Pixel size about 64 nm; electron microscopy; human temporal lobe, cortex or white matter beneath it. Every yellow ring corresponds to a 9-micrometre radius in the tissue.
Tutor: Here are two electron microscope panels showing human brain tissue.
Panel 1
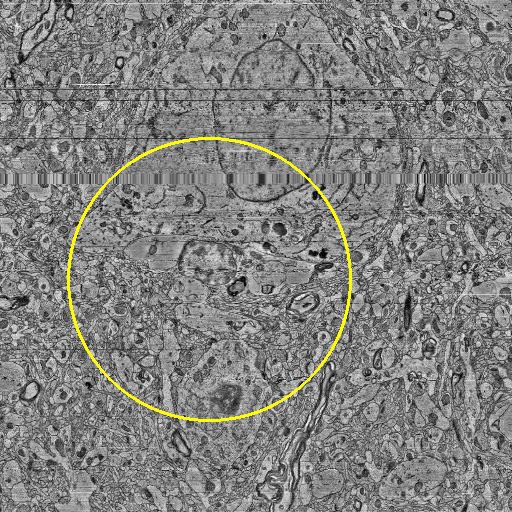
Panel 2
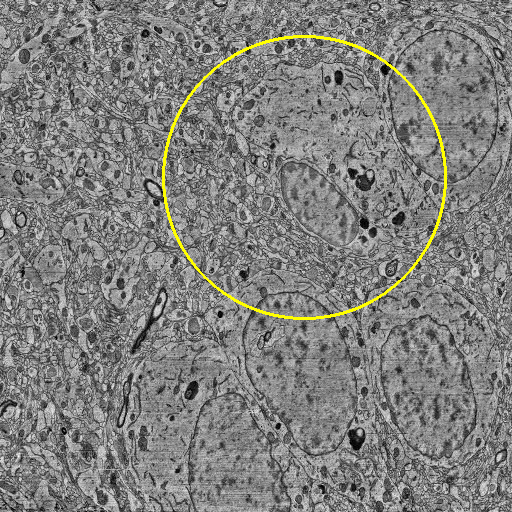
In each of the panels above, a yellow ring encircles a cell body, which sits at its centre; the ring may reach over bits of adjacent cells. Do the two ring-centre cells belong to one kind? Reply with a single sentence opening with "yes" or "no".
Yes, the two cells sitting at the ring centres in the panels belong to one kind.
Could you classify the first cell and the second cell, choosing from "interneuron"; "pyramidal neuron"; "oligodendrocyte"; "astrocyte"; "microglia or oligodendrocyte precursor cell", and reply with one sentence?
Each of the two rings surrounds a microglial cell or oligodendrocyte precursor cell.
